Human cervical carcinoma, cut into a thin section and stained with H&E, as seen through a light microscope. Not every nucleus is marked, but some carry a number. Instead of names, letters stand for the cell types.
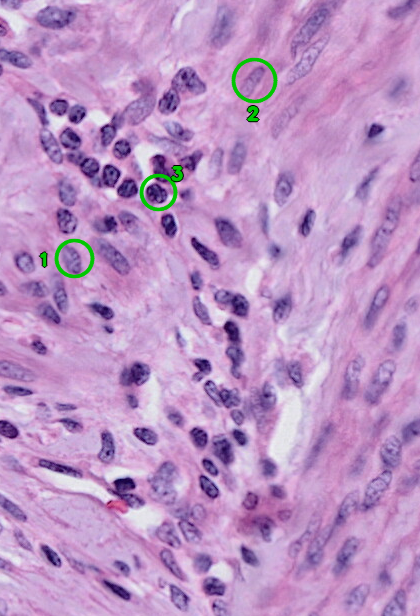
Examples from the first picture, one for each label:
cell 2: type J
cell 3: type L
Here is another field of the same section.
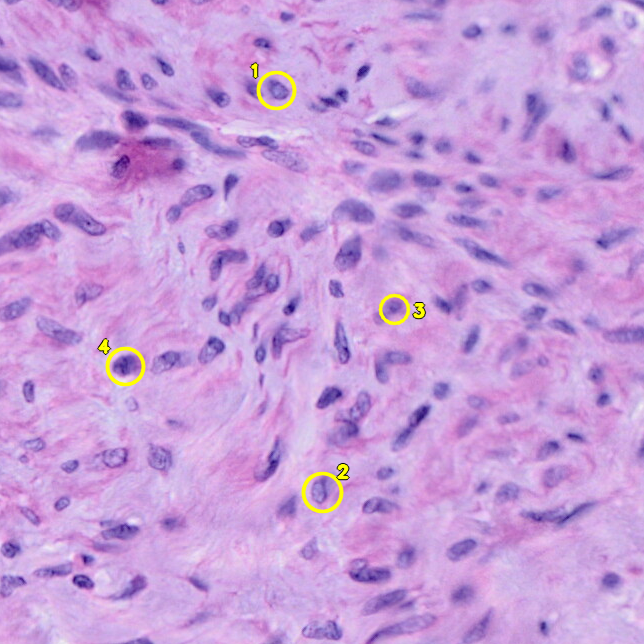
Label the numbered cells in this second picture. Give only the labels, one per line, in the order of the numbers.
type J
type J
type J
type L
